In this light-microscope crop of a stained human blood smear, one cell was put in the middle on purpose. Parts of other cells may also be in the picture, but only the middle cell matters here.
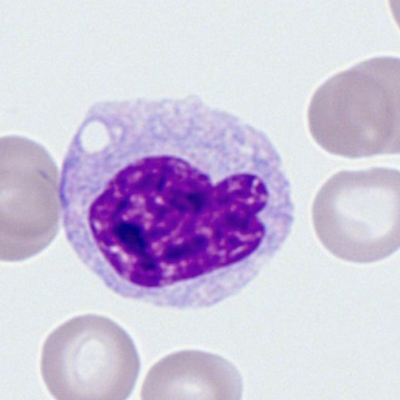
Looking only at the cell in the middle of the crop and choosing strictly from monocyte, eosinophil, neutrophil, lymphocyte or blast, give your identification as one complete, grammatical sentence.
The middle of this crop is occupied by a monocyte.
